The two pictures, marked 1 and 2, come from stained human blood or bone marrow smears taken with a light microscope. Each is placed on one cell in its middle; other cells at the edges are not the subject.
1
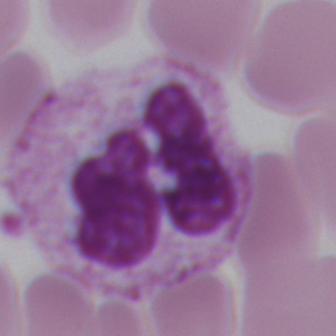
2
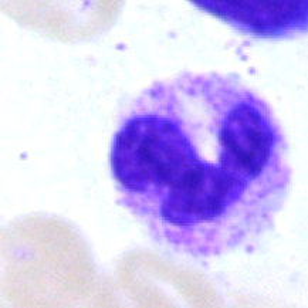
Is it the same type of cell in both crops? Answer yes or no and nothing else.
yes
